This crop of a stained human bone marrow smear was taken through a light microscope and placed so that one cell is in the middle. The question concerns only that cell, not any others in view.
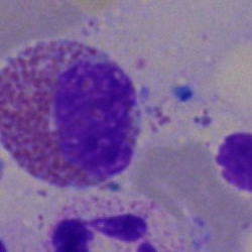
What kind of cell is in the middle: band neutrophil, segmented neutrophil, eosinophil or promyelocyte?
eosinophil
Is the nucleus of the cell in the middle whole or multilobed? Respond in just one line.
See how the nucleus sits as one compact round, oval or kidney-shaped mass.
